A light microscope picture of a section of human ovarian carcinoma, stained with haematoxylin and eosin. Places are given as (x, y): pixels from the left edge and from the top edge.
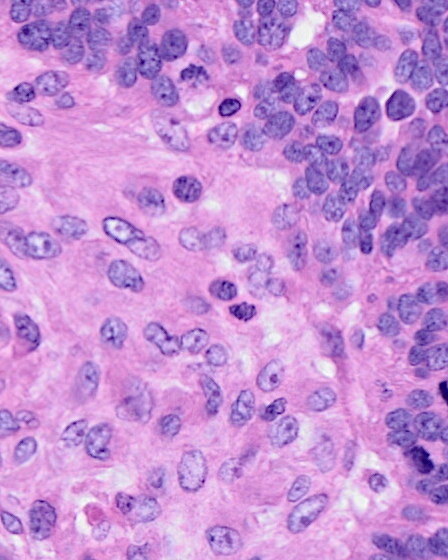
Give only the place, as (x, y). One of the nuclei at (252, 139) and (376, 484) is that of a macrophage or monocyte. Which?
(376, 484)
